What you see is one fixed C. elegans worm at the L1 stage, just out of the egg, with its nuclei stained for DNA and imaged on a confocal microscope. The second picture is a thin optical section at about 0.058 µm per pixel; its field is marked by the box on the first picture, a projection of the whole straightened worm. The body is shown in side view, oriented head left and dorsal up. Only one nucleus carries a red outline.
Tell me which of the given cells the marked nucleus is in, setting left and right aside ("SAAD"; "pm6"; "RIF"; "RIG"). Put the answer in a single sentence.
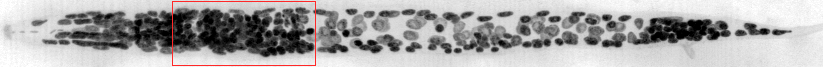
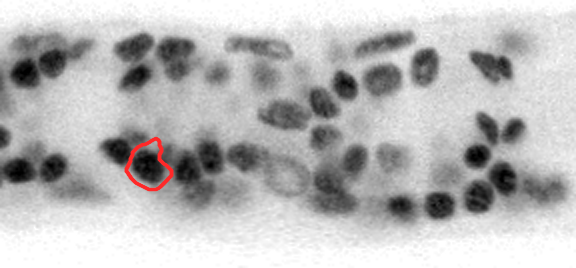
The marked nucleus is that of SAAD, a neuron.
